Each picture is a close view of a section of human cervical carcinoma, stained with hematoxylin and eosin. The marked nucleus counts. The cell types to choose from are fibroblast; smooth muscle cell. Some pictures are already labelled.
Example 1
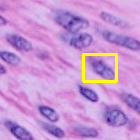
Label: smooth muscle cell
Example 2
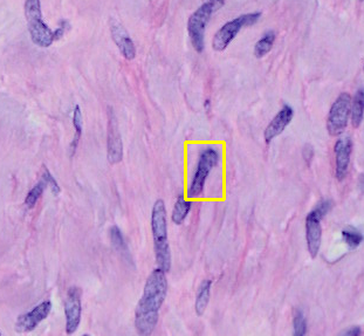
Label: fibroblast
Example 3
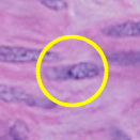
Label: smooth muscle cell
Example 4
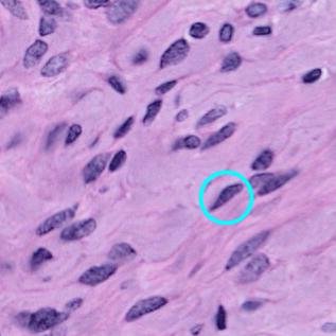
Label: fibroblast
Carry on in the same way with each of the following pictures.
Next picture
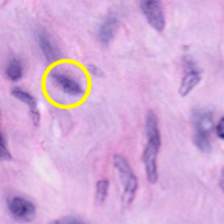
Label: fibroblast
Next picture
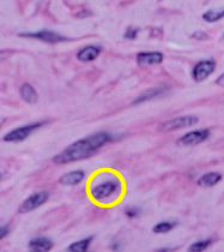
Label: smooth muscle cell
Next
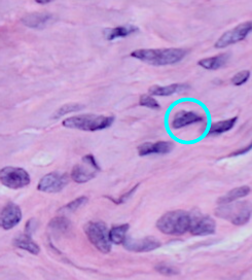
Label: fibroblast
